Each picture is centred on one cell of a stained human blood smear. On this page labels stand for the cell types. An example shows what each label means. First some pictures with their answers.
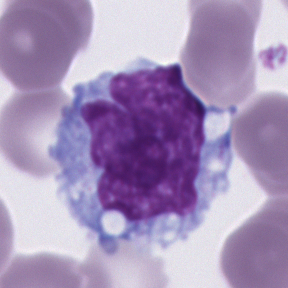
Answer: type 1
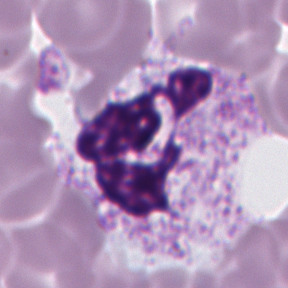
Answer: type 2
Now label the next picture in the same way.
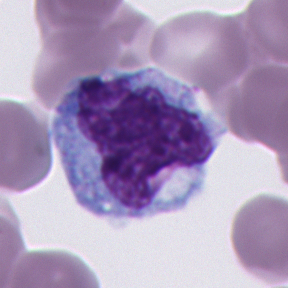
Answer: type 1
